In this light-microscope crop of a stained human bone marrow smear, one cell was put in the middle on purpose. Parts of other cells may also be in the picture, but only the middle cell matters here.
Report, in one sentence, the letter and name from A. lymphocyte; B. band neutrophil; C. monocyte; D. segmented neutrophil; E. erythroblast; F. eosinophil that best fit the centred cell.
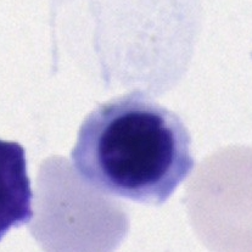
The cell at the centre is an erythroblast, and option E accordingly is correct.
